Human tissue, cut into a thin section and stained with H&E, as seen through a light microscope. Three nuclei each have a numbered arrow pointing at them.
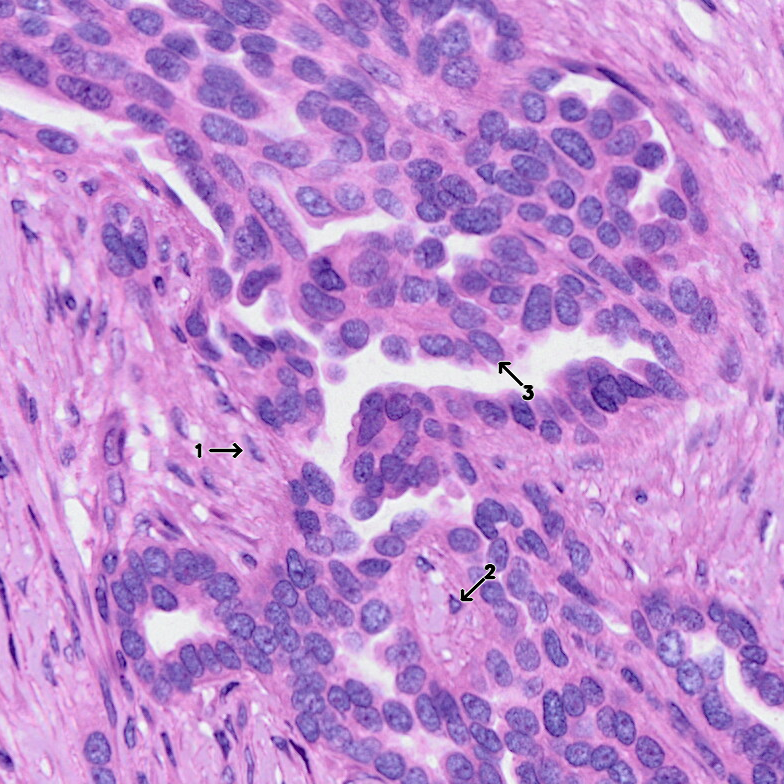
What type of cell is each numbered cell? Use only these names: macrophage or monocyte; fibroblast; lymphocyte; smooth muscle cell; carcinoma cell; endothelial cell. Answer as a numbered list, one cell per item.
1. fibroblast
2. fibroblast
3. carcinoma cell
